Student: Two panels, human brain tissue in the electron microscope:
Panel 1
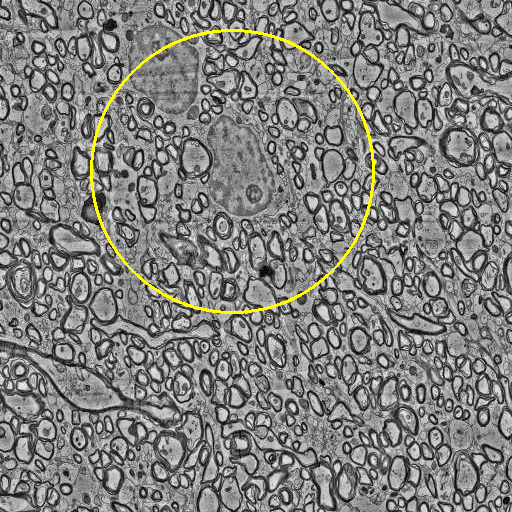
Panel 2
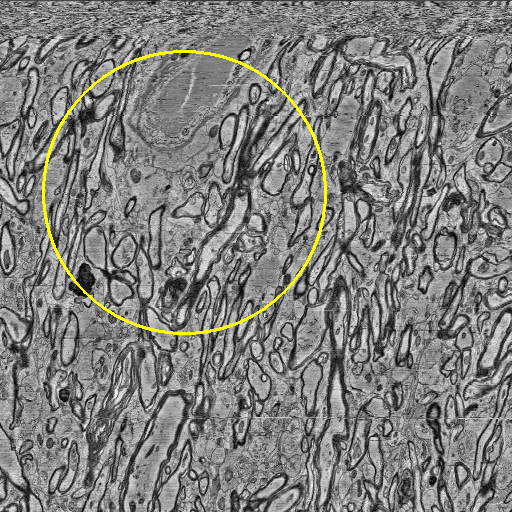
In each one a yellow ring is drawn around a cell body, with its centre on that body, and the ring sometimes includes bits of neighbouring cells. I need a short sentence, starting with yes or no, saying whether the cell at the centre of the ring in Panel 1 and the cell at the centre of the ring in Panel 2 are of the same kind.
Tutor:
No, they are two kinds of cell.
